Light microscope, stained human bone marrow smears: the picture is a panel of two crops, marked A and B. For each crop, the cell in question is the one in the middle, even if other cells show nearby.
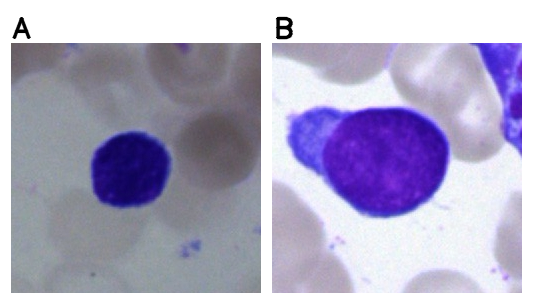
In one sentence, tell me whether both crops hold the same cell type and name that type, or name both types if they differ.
No, crop A shows a lymphocyte, with a blast shown in crop B.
